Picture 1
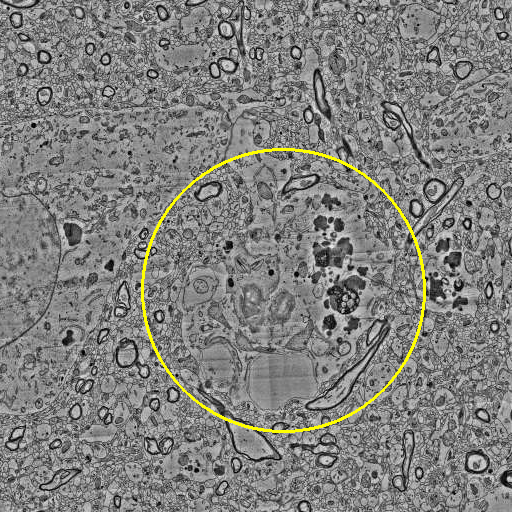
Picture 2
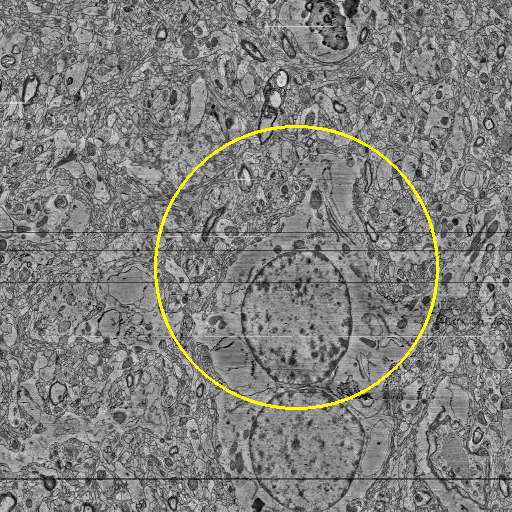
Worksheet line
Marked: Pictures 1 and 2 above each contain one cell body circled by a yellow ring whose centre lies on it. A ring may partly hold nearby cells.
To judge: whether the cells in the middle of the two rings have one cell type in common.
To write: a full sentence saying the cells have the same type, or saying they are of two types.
The cells in the middle of the rings in Picture 1 and Picture 2 have the same type.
